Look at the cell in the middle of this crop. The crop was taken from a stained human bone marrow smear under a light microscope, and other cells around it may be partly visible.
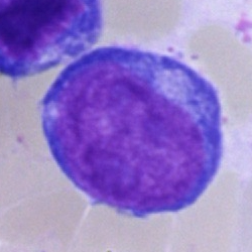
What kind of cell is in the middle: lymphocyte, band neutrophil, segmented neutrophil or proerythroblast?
proerythroblast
